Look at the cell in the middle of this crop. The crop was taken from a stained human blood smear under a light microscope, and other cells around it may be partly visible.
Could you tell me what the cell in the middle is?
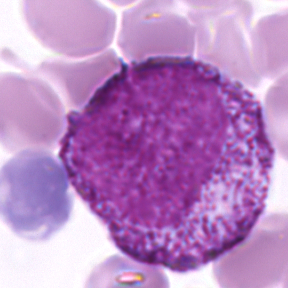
myelocyte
